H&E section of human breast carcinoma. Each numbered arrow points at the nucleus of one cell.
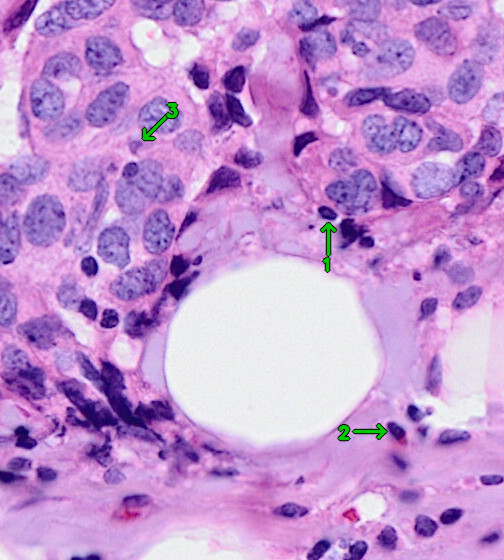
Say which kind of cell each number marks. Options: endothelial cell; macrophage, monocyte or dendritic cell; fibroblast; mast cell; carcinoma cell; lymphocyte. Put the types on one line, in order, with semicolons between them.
lymphocyte; lymphocyte; carcinoma cell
